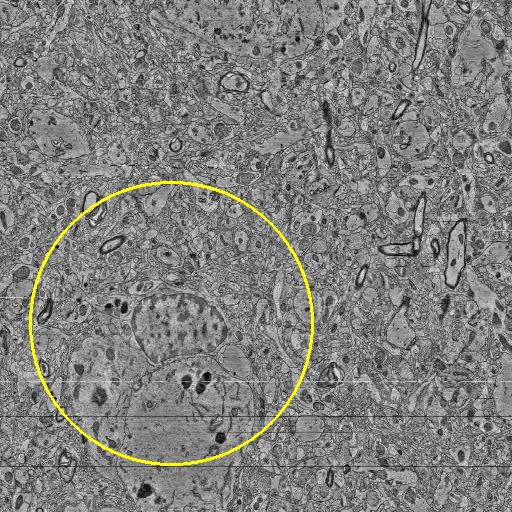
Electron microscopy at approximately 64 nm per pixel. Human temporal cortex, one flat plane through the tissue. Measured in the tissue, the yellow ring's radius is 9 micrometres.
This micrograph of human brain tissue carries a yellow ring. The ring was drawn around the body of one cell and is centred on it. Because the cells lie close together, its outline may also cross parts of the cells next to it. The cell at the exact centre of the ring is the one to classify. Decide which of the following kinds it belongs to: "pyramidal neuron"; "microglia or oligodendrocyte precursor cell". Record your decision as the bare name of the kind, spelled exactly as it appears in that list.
microglia or oligodendrocyte precursor cell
